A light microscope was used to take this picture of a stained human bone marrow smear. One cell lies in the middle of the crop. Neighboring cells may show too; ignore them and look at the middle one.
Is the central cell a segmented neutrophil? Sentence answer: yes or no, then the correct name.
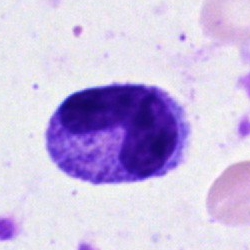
No, the centrally located cell is a band neutrophil rather than a segmented neutrophil.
